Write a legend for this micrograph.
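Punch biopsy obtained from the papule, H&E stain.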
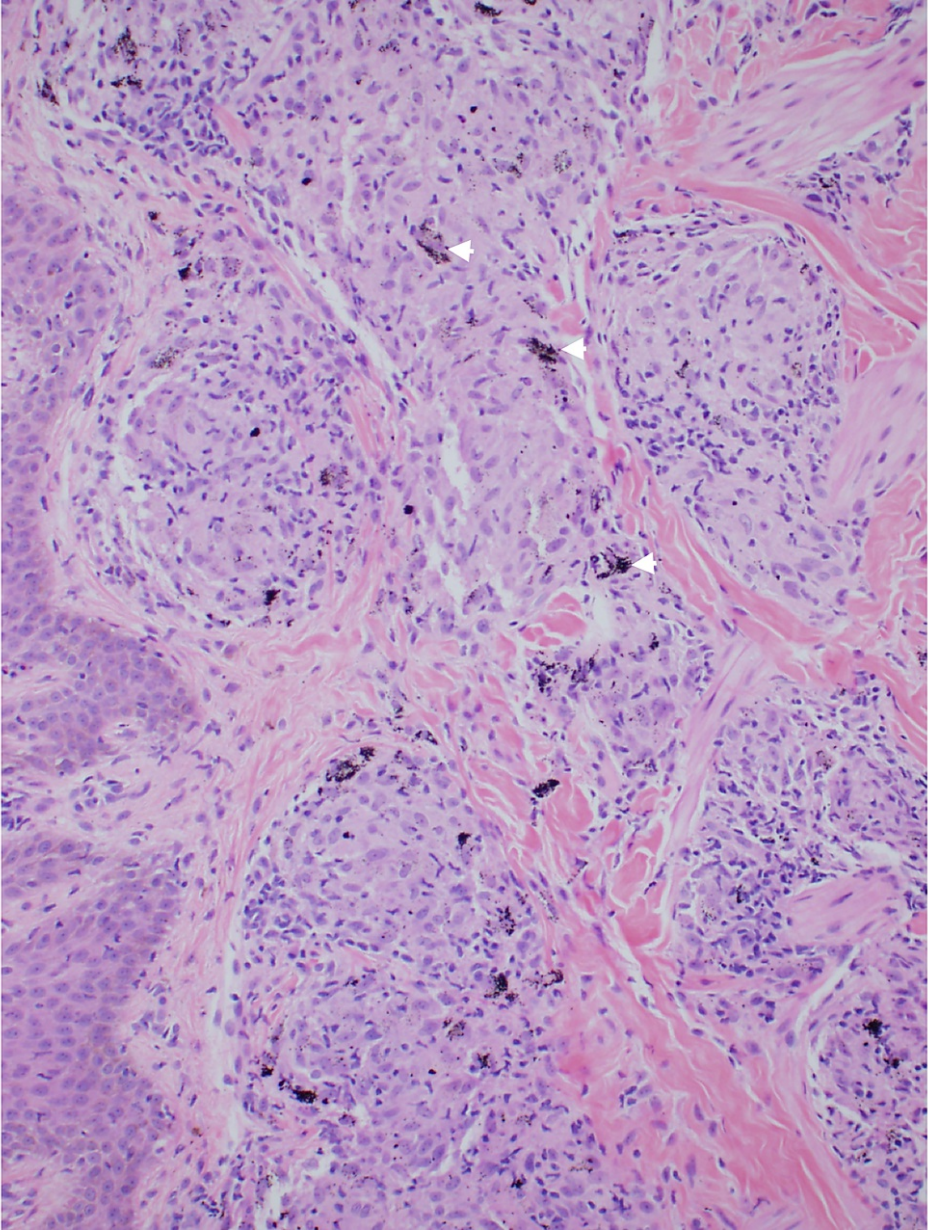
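This is skin dermis filled with rounded nodular clusters of epithelioid cells, with a strip of epidermis along the left edge. The epithelioid cells have abundant pale pink cytoplasm and oval, pale nuclei, and they pack into well-circumscribed nests. Bands of pink collagen run between the nests and separate them. Black, granular pigment is scattered through the nests, some lying free and some clumped inside macrophages.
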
